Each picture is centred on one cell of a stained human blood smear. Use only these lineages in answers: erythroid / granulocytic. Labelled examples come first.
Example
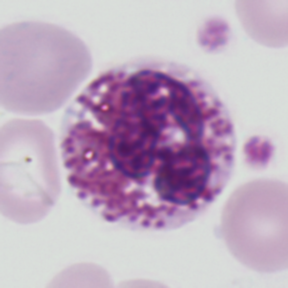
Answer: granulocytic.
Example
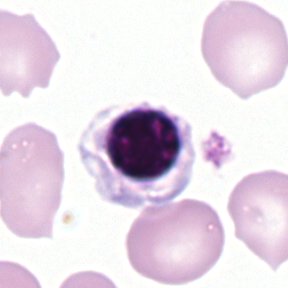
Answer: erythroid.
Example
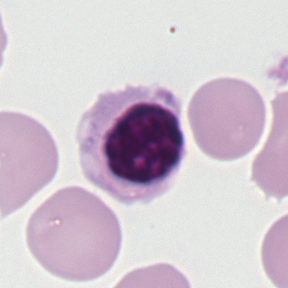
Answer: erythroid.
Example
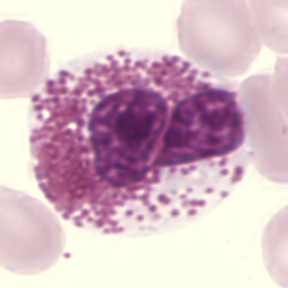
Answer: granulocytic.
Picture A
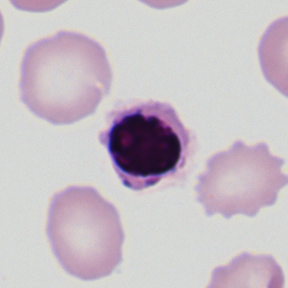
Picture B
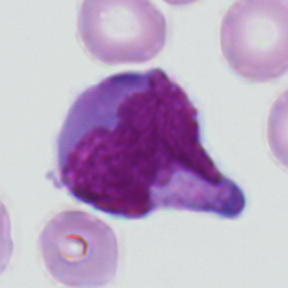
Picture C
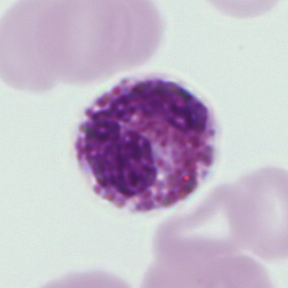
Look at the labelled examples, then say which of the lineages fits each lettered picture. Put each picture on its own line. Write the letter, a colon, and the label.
A: erythroid.
B: granulocytic.
C: granulocytic.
